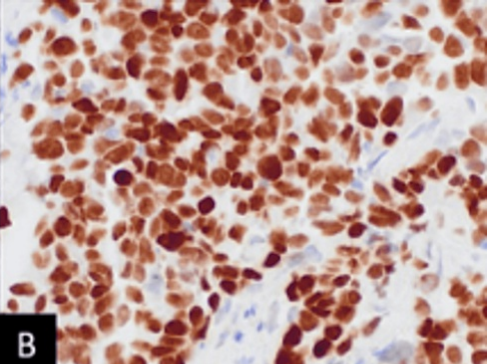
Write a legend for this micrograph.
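Tumor cells in crowded groups show strong brown staining of their nuclei. The stained nuclei are round to oval and vary in size and intensity, with some very dark. Between the groups lie thin strands of pale stroma whose elongated nuclei are blue and unstained.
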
